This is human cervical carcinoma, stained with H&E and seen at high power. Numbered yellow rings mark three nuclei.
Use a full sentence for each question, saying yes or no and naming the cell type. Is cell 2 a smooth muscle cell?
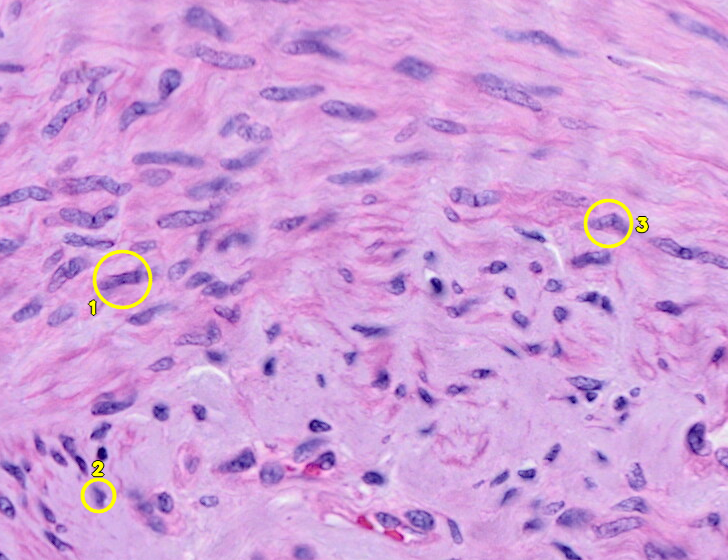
No, cell number 2 is identified as a fibroblast, not as a smooth muscle cell.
